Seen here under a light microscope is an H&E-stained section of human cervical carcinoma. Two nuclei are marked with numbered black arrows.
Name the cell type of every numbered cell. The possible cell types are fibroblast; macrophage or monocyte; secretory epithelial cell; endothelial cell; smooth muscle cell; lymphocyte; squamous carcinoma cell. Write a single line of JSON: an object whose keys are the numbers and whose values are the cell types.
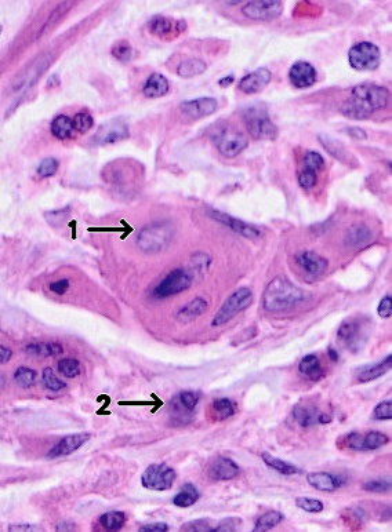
{"1": "squamous carcinoma cell", "2": "macrophage or monocyte"}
